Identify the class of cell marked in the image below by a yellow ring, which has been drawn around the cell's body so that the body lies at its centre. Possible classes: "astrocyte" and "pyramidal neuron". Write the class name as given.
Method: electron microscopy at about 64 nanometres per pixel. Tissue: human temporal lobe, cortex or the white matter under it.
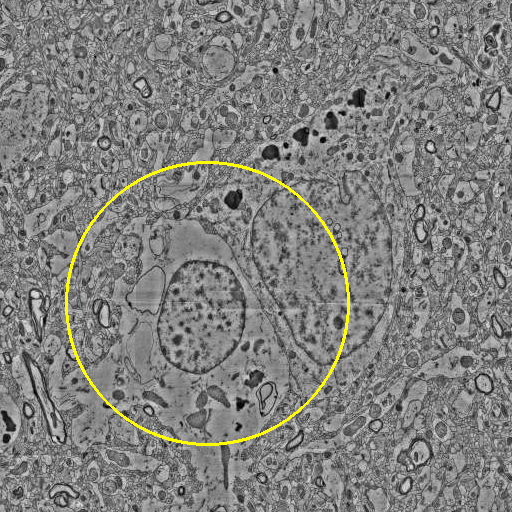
astrocyte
